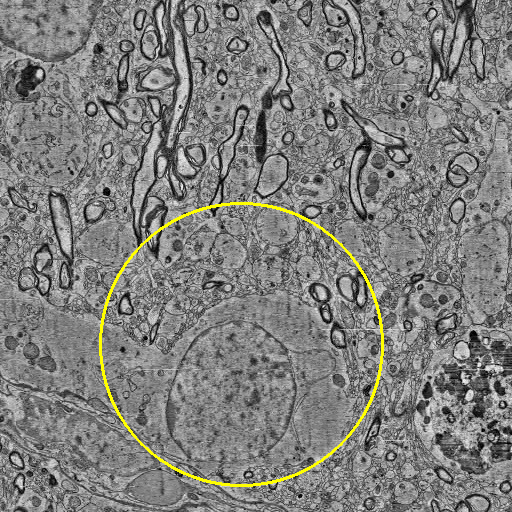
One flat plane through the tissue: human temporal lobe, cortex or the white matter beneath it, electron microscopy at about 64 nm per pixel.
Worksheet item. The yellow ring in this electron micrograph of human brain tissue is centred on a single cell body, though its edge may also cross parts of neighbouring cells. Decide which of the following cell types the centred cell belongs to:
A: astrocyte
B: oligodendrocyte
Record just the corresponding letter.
A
